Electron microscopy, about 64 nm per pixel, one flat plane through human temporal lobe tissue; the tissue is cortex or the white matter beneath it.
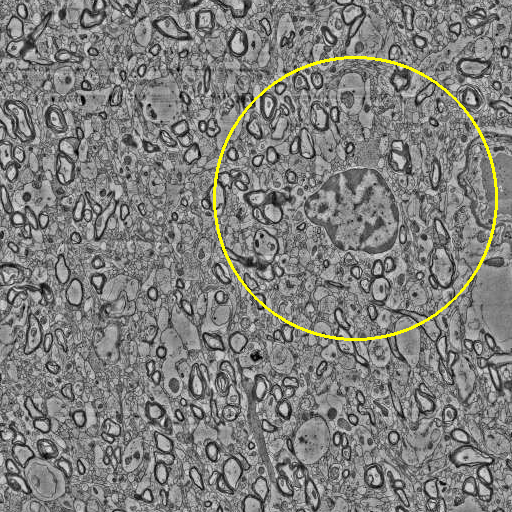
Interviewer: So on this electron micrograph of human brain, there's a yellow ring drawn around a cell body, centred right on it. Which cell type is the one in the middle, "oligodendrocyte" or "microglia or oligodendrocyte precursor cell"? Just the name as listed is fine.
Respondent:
microglia or oligodendrocyte precursor cell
